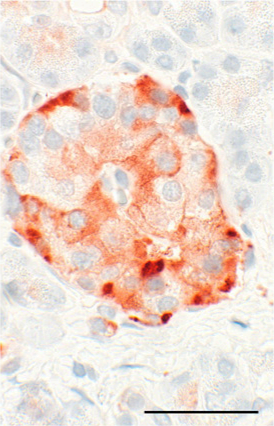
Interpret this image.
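A rounded, well-bounded cluster of cells sits within surrounding glandular tissue whose cells stay largely unstained with blue nuclei. The cells of the cluster carry red-brown stain in their cytoplasm, some cells at its rim stained much more intensely. This compact, sharply set-off nest of endocrine cells amid exocrine acini is a pancreatic islet.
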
